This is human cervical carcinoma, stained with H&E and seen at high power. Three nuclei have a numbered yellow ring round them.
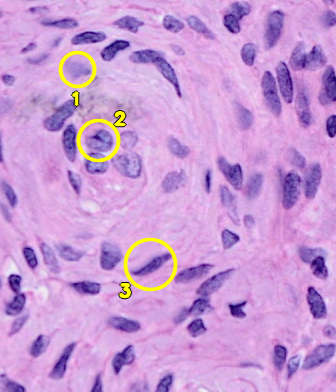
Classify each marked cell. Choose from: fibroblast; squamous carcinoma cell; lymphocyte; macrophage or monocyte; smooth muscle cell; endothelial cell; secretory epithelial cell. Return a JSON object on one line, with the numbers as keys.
{"1": "fibroblast", "2": "endothelial cell", "3": "fibroblast"}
